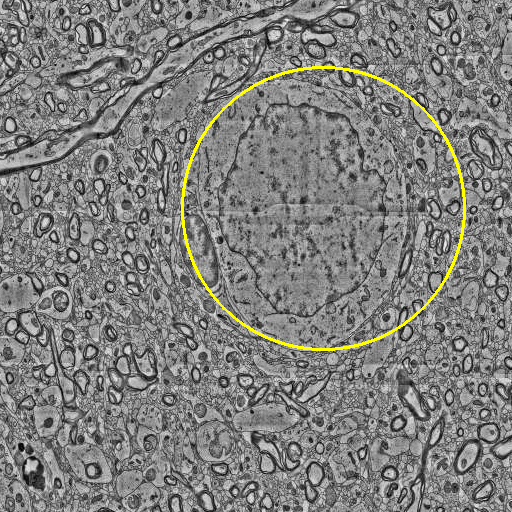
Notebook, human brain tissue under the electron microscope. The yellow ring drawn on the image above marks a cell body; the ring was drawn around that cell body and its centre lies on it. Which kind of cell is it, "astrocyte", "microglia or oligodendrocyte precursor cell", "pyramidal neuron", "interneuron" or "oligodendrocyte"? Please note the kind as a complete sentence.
The marked cell body is that of a pyramidal neuron.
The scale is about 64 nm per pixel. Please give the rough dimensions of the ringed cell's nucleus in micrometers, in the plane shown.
About 14 by 11 micrometers for the nucleus, in this plane.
